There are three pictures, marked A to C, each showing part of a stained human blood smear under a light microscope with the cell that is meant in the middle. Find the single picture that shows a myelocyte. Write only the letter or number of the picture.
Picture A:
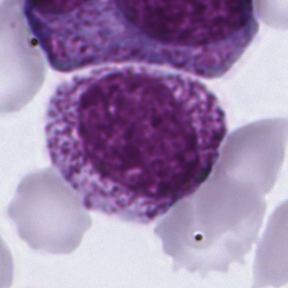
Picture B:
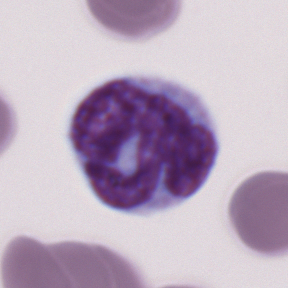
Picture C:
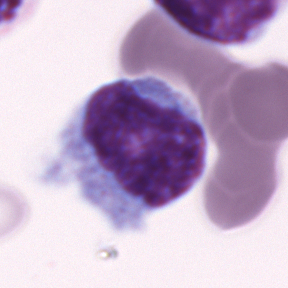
A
